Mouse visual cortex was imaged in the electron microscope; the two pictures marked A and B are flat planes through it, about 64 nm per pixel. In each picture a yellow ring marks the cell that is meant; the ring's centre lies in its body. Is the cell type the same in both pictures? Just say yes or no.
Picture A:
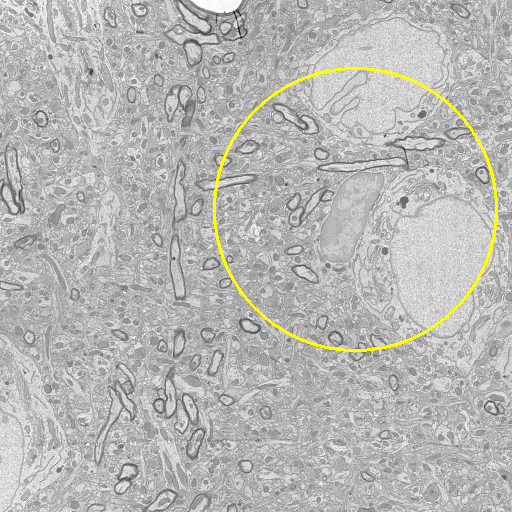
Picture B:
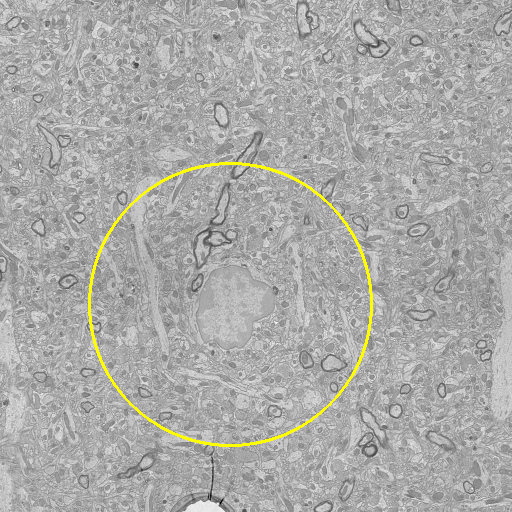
yes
